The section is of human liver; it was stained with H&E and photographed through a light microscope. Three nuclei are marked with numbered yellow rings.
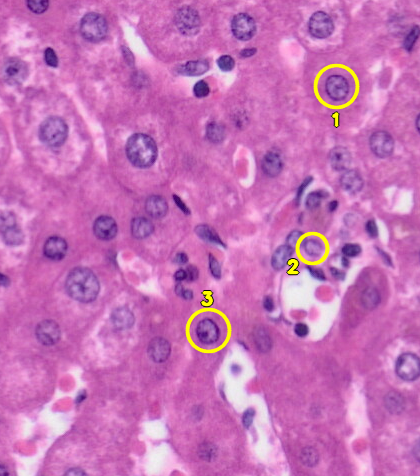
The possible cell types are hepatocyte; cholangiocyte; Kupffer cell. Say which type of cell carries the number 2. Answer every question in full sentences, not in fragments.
The cell pointed out as number 2 is a cholangiocyte.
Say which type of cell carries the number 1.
Regarding cell 1, this one is a hepatocyte.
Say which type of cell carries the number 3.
The cell with the number 3 is a hepatocyte.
